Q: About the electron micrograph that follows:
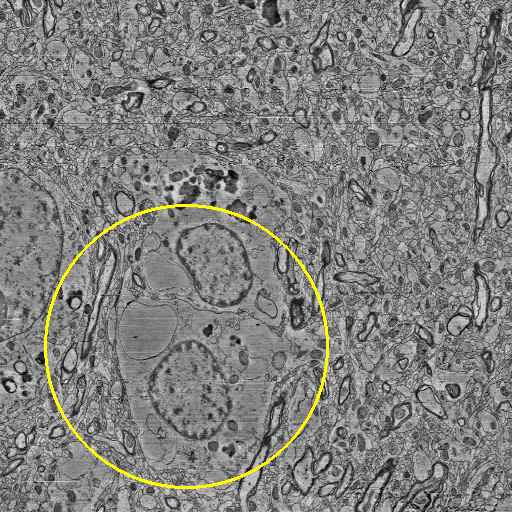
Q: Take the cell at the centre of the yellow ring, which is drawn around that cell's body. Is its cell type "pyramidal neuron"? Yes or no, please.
No, its type is another one.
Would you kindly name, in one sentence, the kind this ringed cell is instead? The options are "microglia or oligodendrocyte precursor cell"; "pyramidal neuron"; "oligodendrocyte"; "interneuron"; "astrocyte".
Instead, the cell inside the ring is an astrocyte.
